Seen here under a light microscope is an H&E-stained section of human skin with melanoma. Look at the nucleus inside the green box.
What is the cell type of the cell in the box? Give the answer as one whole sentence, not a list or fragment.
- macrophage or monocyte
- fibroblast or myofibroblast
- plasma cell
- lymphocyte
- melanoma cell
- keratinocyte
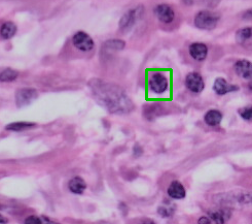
In short, the cell in the box on this section is a plasma cell.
